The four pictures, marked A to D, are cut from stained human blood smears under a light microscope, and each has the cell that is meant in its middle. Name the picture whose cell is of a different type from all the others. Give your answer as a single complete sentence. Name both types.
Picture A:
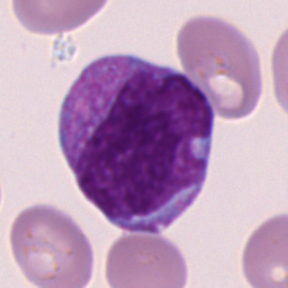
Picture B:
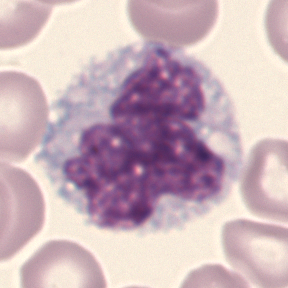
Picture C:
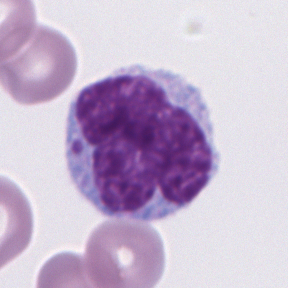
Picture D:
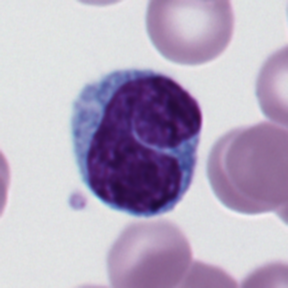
Picture A differs, because its cell is an atypical promyelocyte and the rest are monocytes.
